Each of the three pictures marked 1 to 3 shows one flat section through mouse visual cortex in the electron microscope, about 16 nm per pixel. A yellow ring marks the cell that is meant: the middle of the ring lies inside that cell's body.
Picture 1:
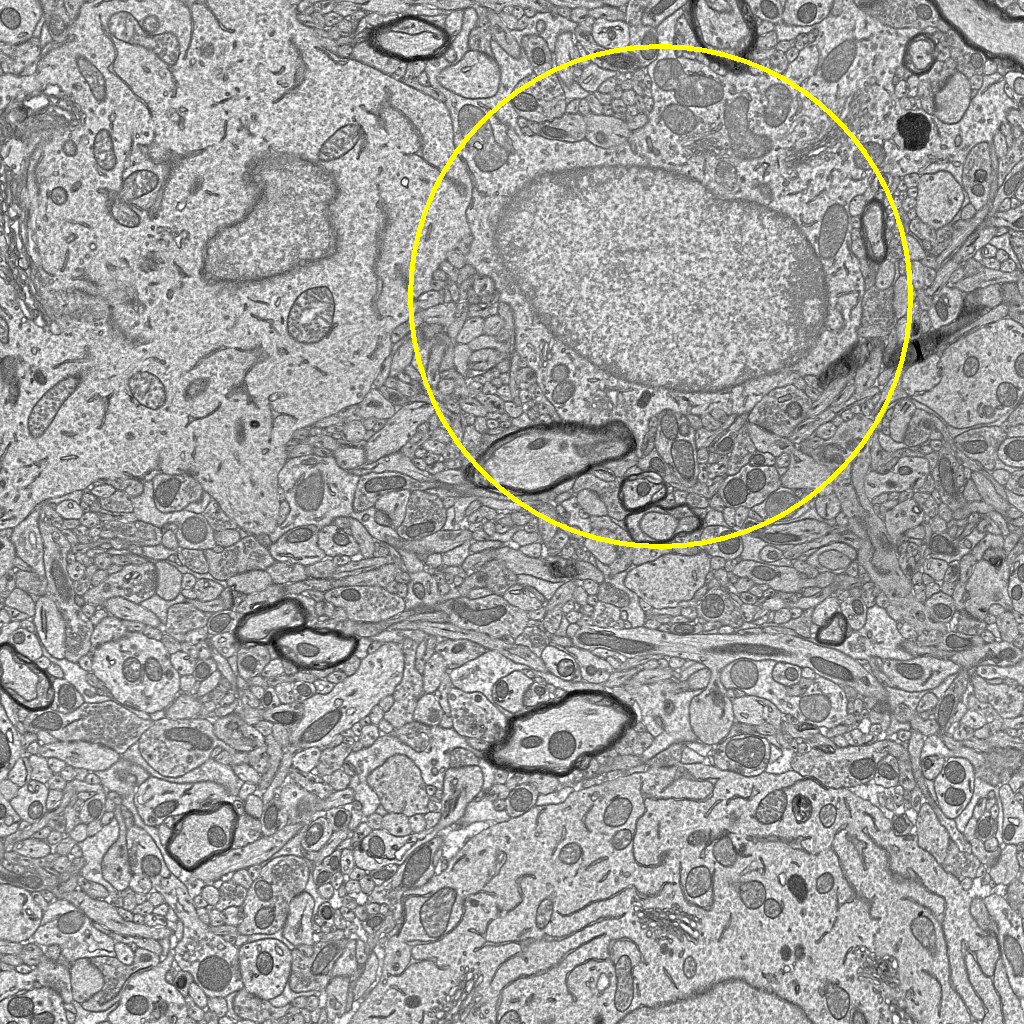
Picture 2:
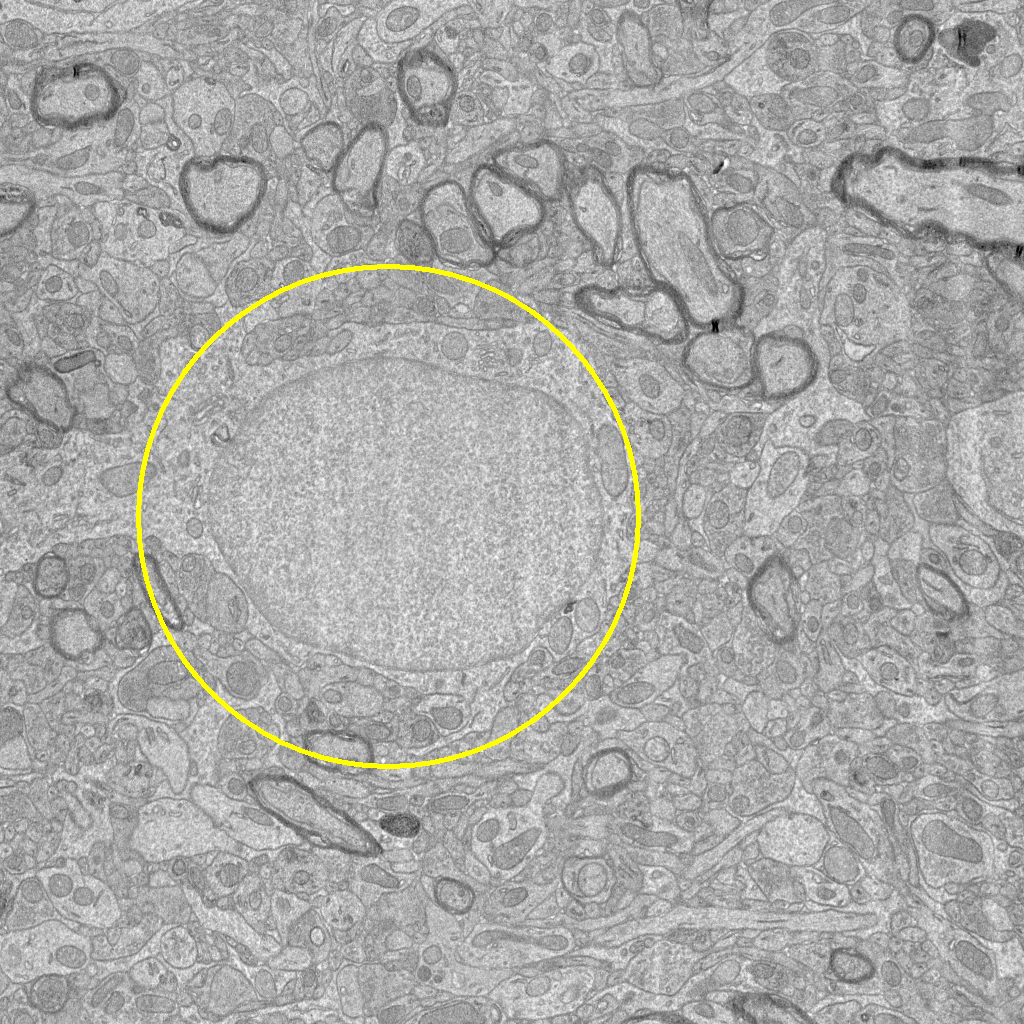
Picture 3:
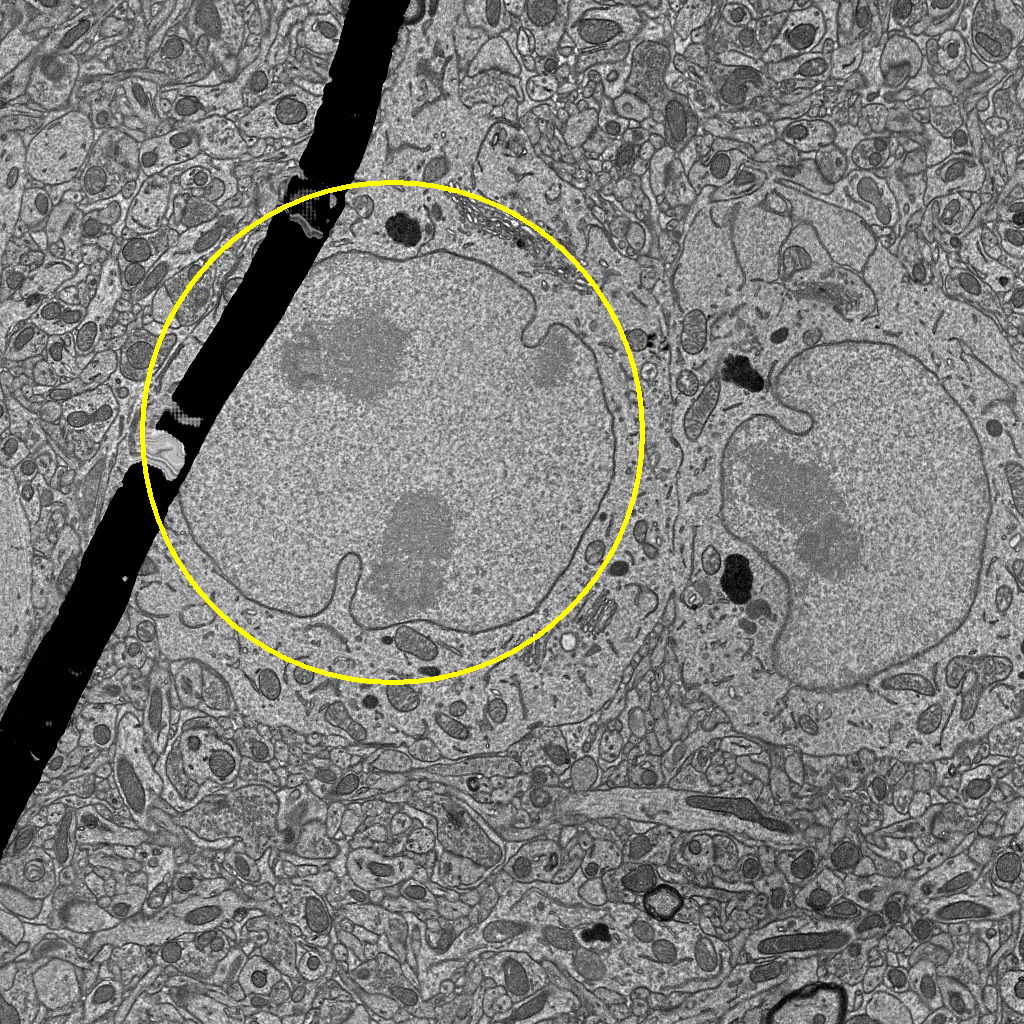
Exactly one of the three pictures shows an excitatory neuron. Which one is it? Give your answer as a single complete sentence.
The cell in picture 3 is the excitatory neuron.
